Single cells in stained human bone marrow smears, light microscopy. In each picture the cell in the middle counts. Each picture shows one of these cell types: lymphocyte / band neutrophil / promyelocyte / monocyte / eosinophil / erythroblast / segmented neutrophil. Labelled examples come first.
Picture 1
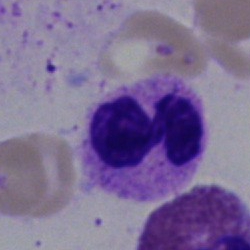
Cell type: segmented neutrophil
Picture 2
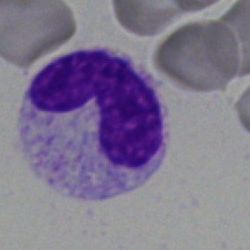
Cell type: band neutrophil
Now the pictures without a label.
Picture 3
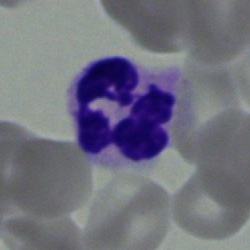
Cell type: segmented neutrophil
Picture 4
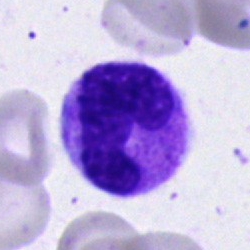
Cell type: band neutrophil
